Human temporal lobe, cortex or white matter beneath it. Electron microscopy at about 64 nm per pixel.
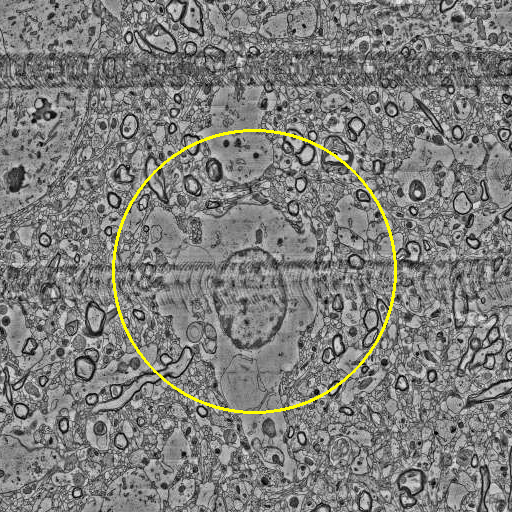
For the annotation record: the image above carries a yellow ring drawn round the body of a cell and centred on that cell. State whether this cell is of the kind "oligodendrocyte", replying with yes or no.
No, this cell is of another kind.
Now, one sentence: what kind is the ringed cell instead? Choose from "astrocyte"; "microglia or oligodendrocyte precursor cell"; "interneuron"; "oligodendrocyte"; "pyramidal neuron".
It is an astrocyte at the centre of the ring.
